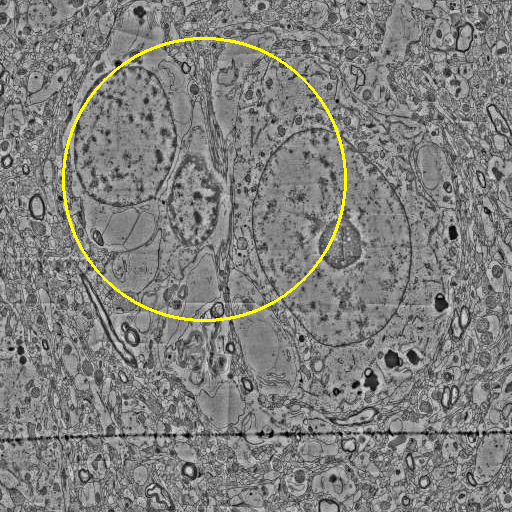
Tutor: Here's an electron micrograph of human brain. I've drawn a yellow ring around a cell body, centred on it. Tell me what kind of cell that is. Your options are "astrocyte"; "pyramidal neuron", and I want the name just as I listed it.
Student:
astrocyte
